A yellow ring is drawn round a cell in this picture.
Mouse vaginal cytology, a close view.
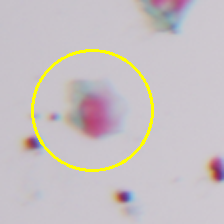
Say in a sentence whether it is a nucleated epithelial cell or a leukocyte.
The cell in the ring is a nucleated epithelial cell.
